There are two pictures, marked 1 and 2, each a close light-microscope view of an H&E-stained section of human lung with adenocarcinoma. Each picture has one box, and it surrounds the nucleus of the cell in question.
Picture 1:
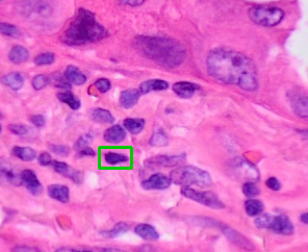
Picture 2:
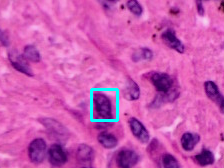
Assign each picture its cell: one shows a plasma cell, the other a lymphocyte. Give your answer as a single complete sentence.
In picture 1 the cell is a lymphocyte; in picture 2, a plasma cell.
